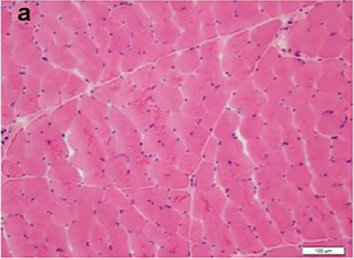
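This is normal skeletal muscle cut across, stained pink. The fibers are polygonal, of fairly even size, and packed closely against one another. Small dark purple nuclei sit at the edges of the fibers. Thin pale septa divide the fibers into bundles, with hardly any space between them.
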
